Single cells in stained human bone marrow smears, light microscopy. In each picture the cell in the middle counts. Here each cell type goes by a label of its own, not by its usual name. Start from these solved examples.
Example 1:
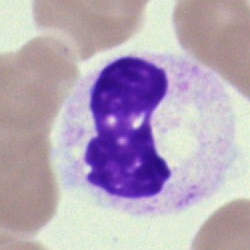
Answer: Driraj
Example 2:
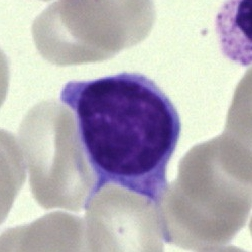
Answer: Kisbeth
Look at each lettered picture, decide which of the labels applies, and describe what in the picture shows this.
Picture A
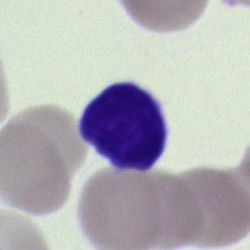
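Kisbeth. Evidence: The nucleus fills almost the whole cell.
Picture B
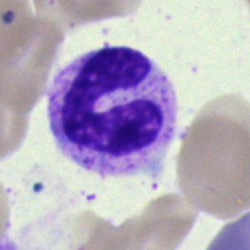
Driraj. Evidence: The nucleus is a single curved band bent into a C shape, not divided into separate lobes.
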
